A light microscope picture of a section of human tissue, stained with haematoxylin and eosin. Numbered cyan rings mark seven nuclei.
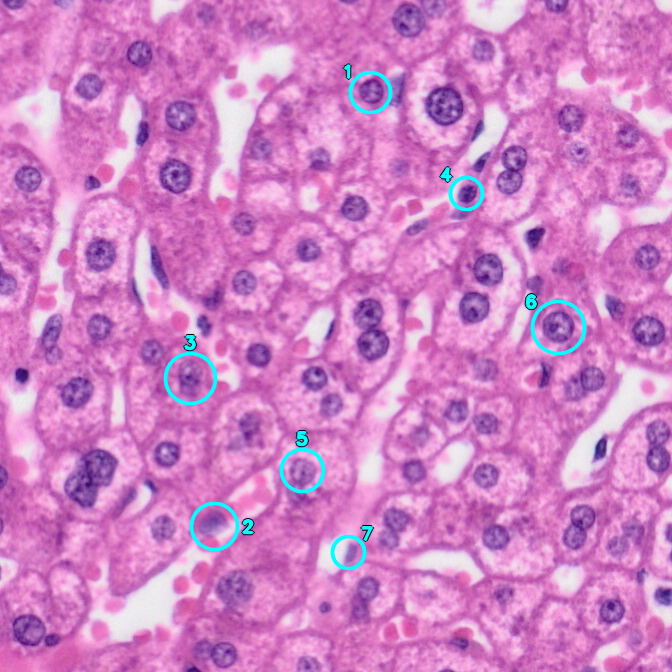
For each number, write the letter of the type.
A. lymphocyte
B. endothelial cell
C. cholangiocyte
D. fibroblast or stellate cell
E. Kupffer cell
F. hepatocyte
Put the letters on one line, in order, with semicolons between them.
F; B; F; A; F; F; B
